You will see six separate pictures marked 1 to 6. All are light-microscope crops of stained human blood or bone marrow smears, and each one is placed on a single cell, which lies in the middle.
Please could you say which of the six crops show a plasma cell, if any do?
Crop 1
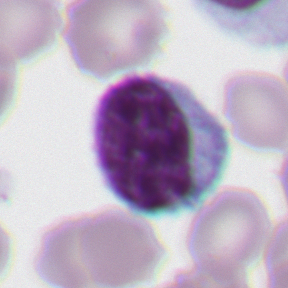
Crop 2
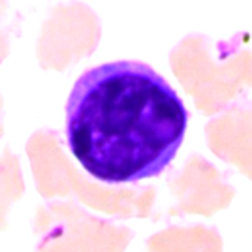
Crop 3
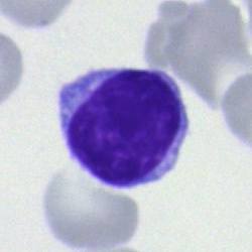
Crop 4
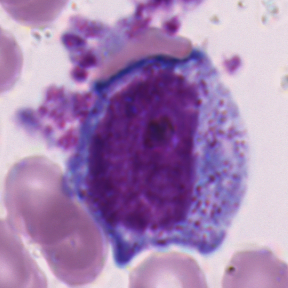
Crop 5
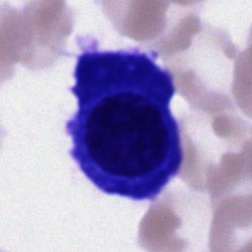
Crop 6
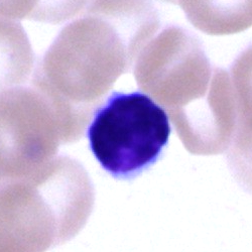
5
